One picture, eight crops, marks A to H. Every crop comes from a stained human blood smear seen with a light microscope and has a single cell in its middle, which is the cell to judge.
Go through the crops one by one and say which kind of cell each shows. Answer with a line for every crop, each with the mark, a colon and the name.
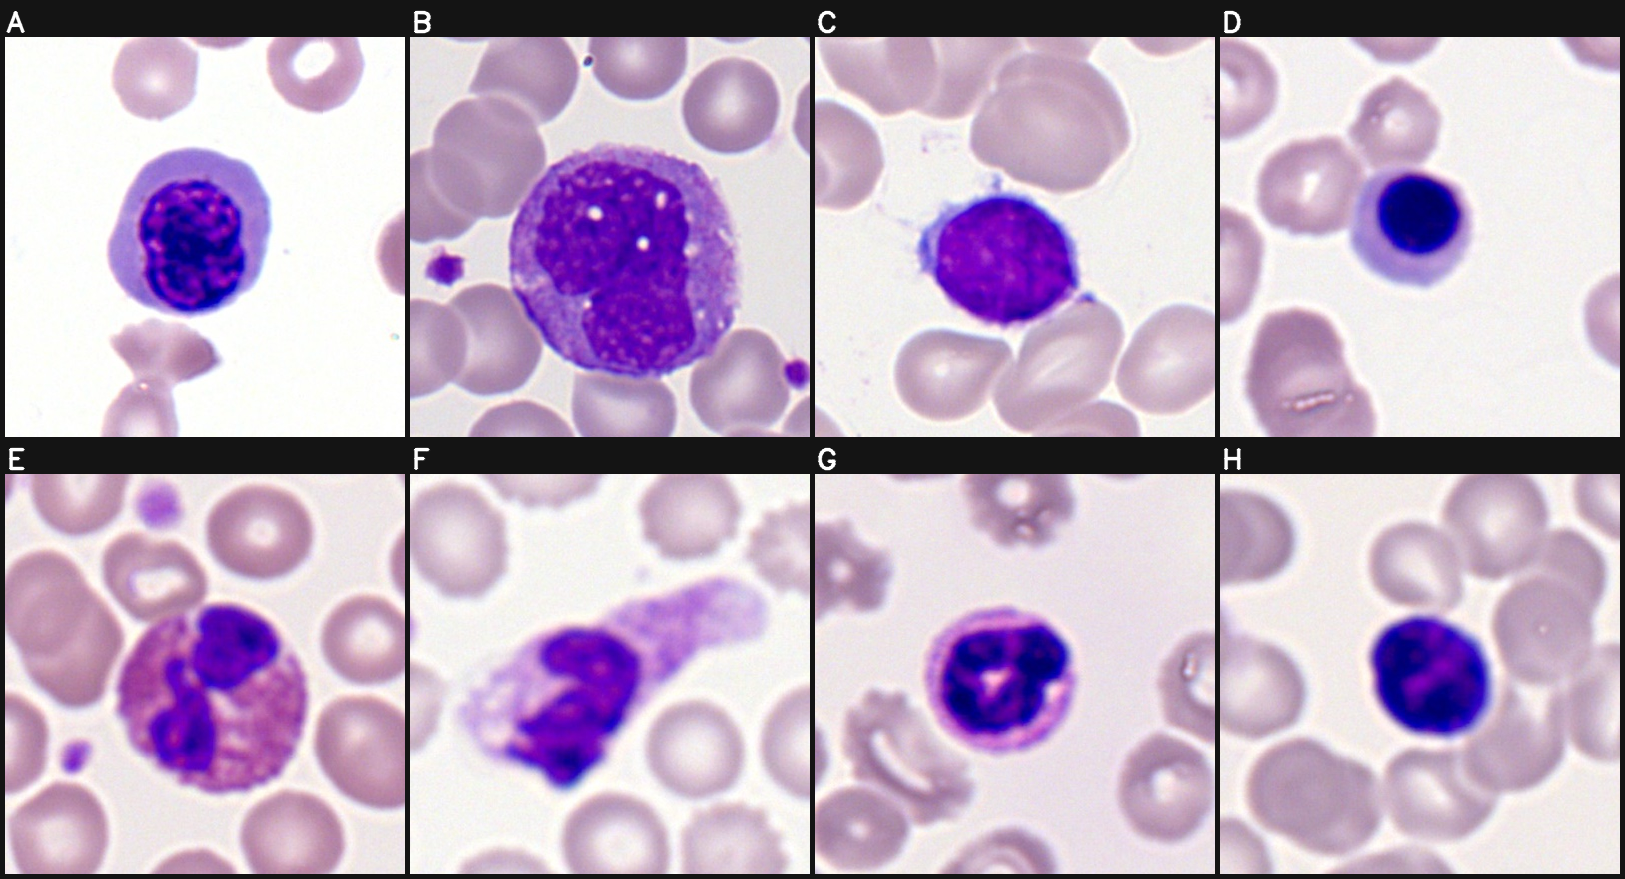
A: erythroblast
B: monocyte
C: lymphocyte
D: erythroblast
E: eosinophil
F: segmented neutrophil
G: segmented neutrophil
H: lymphocyte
